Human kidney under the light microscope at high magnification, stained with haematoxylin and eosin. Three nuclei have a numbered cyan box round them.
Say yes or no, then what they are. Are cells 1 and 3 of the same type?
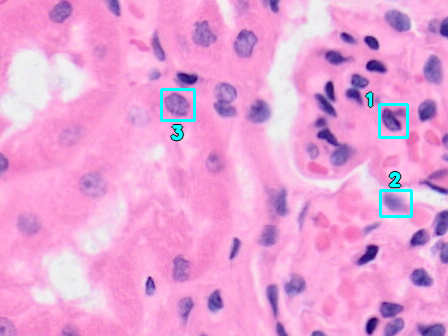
No, cell number 1 is an endothelial cell, and cell number 3 is a proximal tubule cell.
